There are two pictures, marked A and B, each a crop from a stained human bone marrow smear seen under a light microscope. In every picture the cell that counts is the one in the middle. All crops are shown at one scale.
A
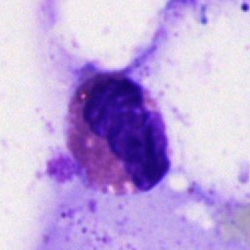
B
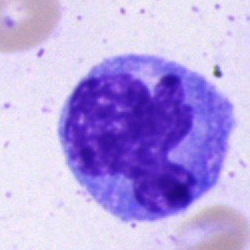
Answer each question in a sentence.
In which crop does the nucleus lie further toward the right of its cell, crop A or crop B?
It is the nucleus in crop A that lies further toward the right of its cell.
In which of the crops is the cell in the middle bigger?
The cell in crop B is larger, with about 2 times the area of the one in crop A.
